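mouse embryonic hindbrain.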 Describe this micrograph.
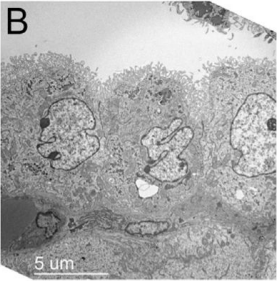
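This is a section through choroid plexus epithelium, seen by transmission electron microscopy. A single row of cuboidal epithelial cells sits side by side. Their apical surfaces, facing an open space at the top, carry a dense brush of microvilli. Each cell holds a large nucleus with pale chromatin and dark clumps at its edge. Some nuclei are rounded, one is irregular and lobed. The cytoplasm is granular with small organelles and a few pale vacuoles. Beneath the epithelium runs a thin layer with flattened, elongated nuclei.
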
